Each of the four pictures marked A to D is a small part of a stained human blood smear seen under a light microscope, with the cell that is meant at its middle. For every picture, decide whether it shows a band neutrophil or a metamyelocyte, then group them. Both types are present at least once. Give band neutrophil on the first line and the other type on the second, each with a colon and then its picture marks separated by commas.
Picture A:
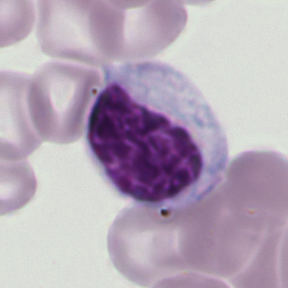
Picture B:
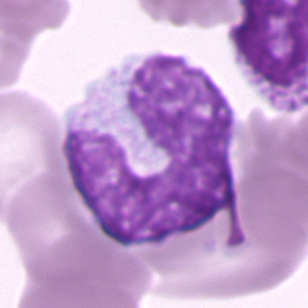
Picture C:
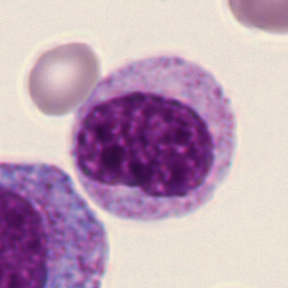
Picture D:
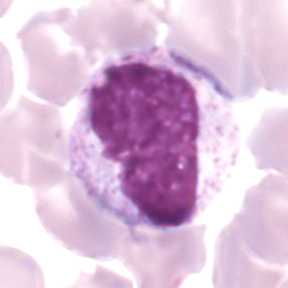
band neutrophil: B
metamyelocyte: A, C, D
